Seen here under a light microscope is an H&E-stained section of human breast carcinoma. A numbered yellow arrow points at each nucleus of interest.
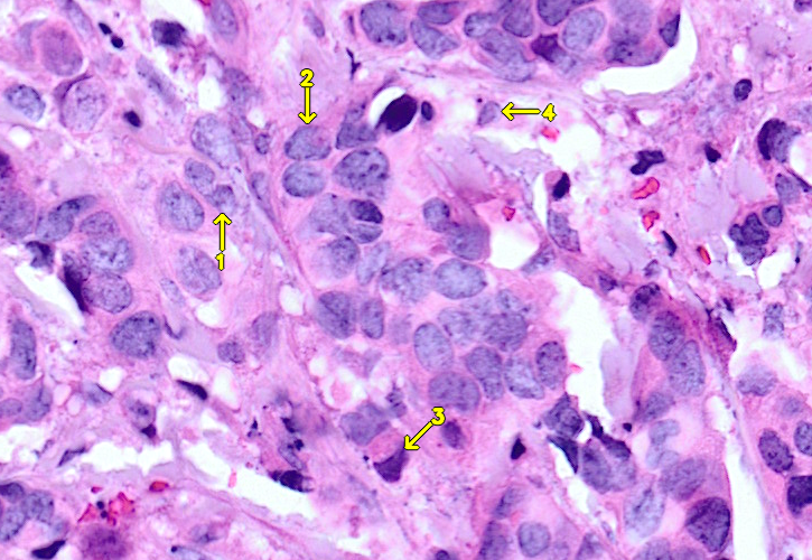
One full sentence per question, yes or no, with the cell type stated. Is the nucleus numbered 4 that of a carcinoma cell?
No, the cell referred to as 4 is a macrophage, monocyte or dendritic cell, not a carcinoma cell.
